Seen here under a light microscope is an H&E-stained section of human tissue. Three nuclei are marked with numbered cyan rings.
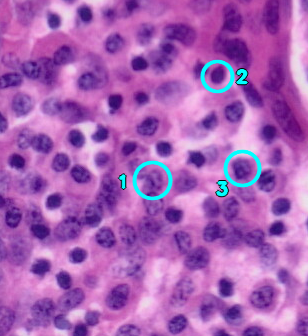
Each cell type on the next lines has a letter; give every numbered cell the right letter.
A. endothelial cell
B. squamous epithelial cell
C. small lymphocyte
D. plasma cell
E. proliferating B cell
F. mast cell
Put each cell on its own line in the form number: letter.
1: D
2: B
3: D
